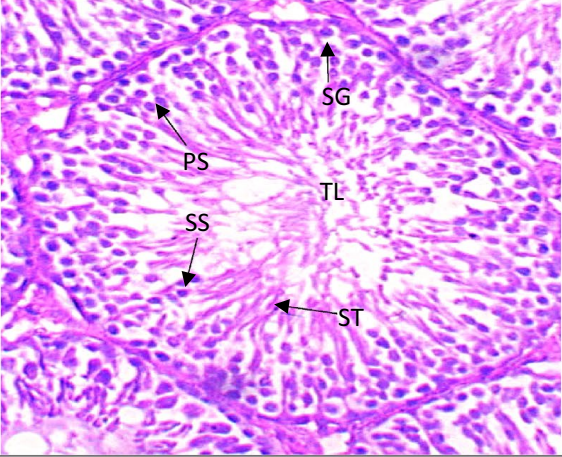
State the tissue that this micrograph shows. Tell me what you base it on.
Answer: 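Testicles. A round tubule lined by a thick, many-layered epithelium of round cells. Elongated cells with tails converge on a central lumen. A thin wall surrounds the tubule, with neighbouring tubules at the edges.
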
